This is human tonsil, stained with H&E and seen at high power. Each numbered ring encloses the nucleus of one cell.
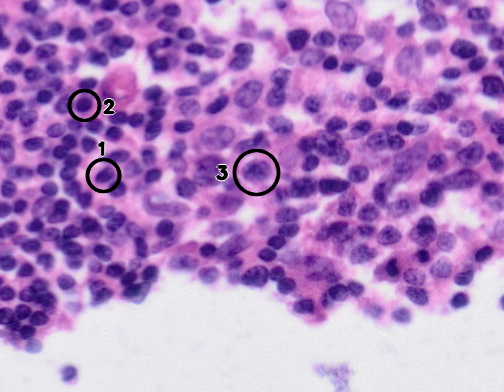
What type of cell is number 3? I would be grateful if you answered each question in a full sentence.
Here, the cell given the number 3 is a proliferating B cell.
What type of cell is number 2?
Cell 2 should be recorded as a small lymphocyte.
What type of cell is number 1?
Number 1 among the marked cells is a small lymphocyte.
